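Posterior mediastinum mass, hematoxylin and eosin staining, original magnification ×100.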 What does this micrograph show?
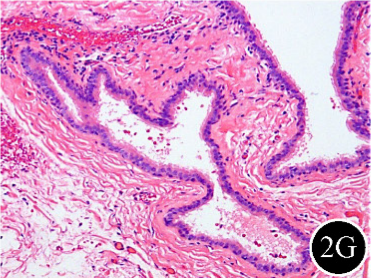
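The section shows the wall of a cystic space lined by pseudostratified ciliated columnar epithelium, which follows a folded, undulating course around a largely empty lumen. The lining is made of tall cells whose purple nuclei are crowded at more than one level across its thickness, with a thin rim of cytoplasm toward the lumen. Beneath the epithelium lies pink, wavy fibrous connective tissue containing scattered small elongated nuclei. A few loose cells and pale material float within the lumen.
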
